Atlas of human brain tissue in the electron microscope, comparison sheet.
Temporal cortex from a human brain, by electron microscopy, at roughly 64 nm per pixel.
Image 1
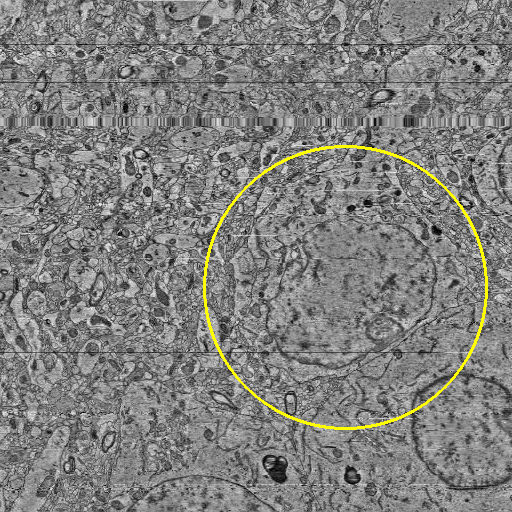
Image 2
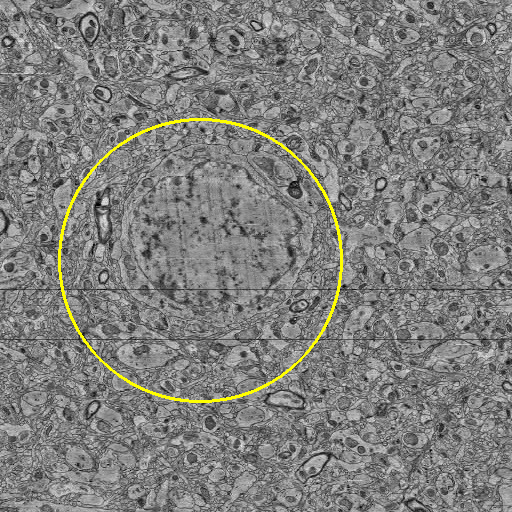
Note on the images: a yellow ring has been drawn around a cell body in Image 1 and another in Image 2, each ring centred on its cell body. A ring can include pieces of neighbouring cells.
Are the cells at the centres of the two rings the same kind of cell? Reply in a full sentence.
Yes, both cells are of the same kind.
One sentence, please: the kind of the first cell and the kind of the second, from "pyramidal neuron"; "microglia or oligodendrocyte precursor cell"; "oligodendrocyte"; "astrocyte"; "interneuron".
Both cells are the same kind, each one being an interneuron.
